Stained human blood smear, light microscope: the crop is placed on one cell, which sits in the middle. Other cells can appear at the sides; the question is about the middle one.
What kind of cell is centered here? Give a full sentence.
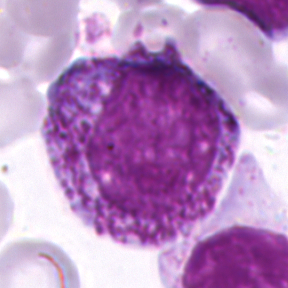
On this slide crop, the central cell is a promyelocyte.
